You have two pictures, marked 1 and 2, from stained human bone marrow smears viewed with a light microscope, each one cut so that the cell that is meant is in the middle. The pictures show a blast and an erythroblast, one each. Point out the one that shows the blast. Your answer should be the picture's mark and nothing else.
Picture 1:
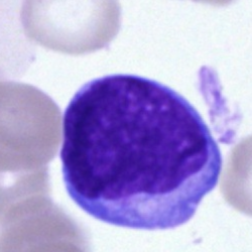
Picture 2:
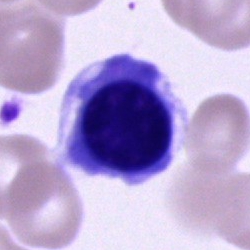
1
